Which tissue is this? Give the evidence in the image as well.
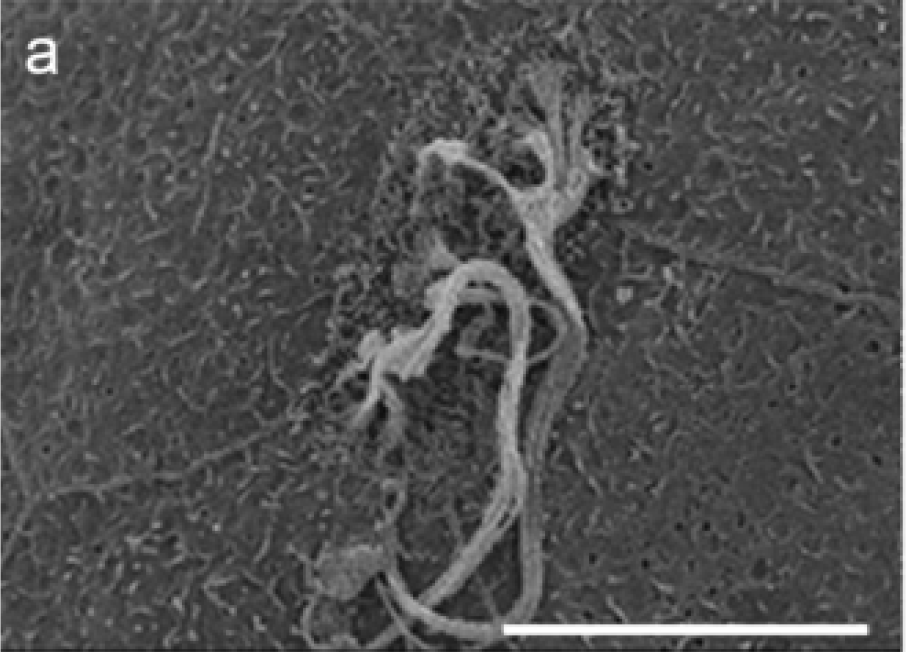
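A small patch on the skin surface from which long, thin projections rise. The long projections curve and loop across the surrounding surface. The surrounding surface is covered with fine ridges.
Lateral line neuromasts.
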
